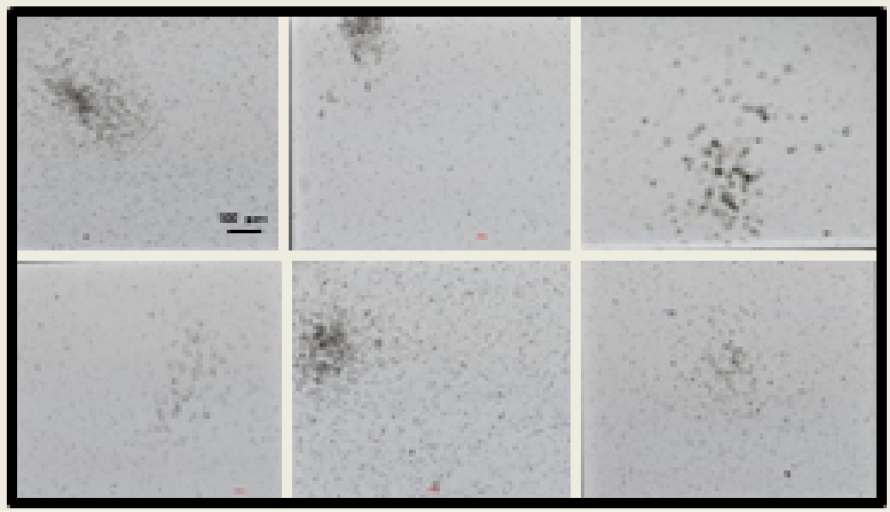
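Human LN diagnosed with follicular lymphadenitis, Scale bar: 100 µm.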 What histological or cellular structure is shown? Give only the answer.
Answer: Colony-forming units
